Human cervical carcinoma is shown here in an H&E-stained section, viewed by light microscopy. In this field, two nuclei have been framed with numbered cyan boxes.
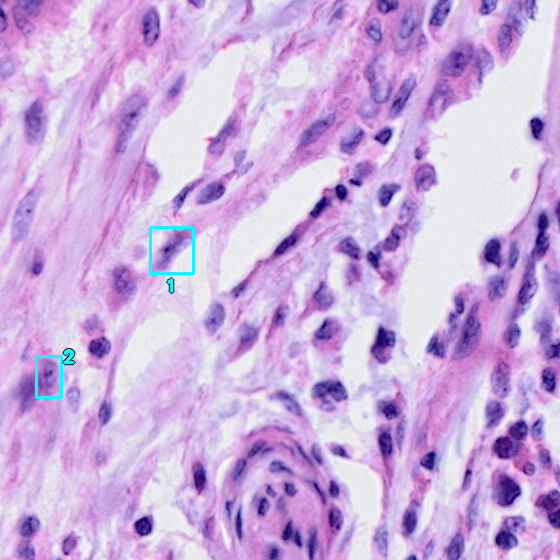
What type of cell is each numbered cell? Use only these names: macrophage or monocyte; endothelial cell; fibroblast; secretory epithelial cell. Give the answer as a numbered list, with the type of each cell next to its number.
1. fibroblast
2. endothelial cell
